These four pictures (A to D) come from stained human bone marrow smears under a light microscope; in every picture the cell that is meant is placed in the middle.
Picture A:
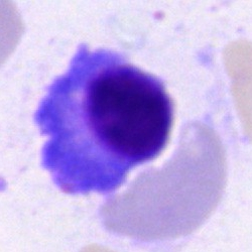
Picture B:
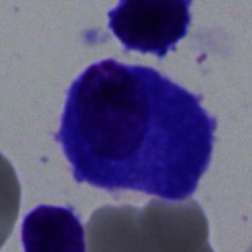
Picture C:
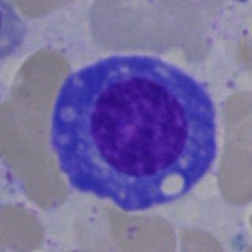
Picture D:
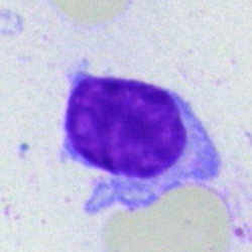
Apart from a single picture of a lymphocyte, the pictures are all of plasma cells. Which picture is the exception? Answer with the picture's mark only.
D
